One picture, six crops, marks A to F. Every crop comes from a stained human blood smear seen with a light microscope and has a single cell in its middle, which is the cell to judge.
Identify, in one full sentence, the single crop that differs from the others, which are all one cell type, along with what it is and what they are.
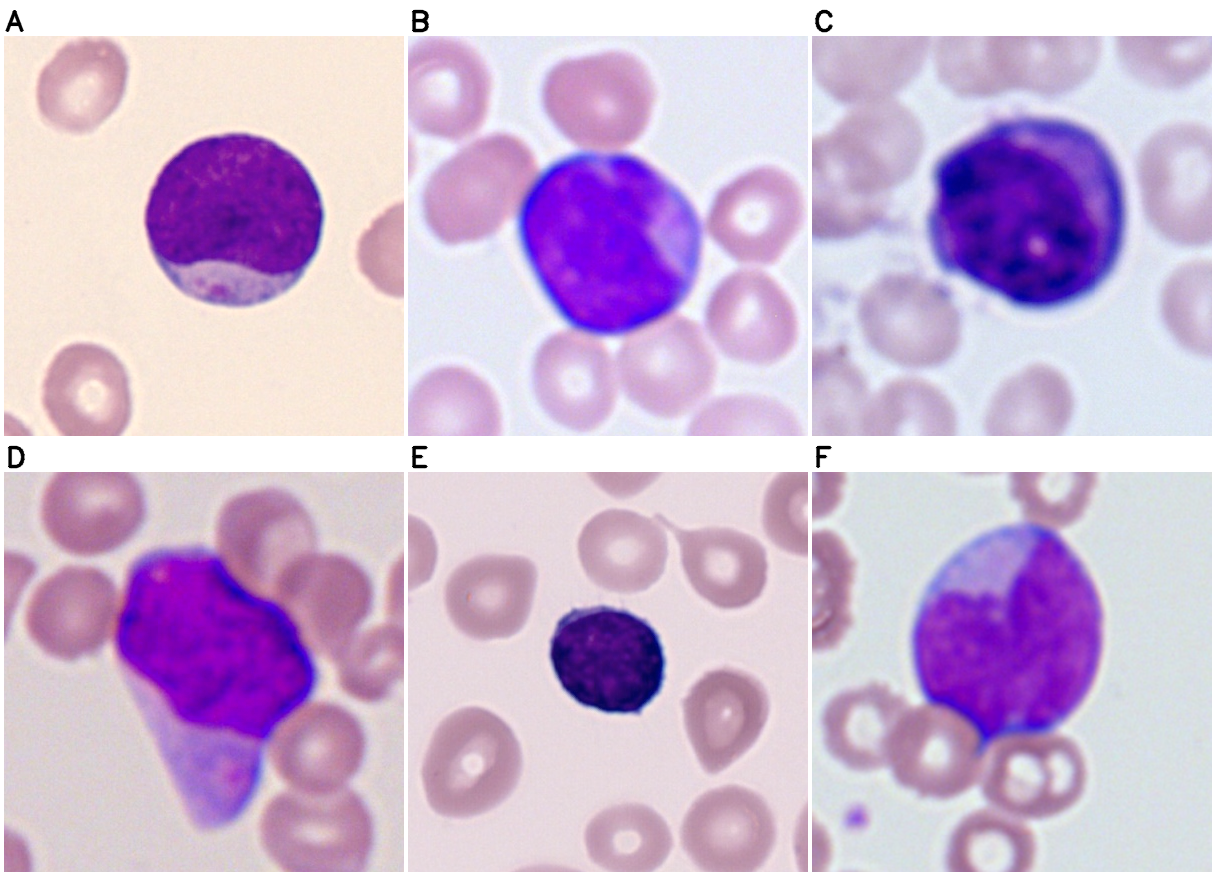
Crop E is a lymphocyte, unlike the other crops, which all show myeloblasts.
